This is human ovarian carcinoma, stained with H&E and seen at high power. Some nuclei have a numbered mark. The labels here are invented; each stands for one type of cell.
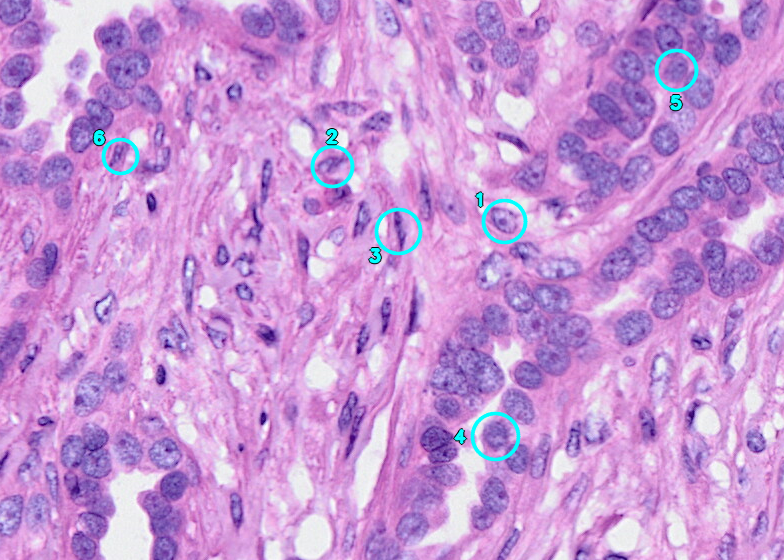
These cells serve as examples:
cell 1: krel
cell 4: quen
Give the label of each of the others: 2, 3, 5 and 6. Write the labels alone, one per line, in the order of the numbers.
krel
krel
quen
krel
